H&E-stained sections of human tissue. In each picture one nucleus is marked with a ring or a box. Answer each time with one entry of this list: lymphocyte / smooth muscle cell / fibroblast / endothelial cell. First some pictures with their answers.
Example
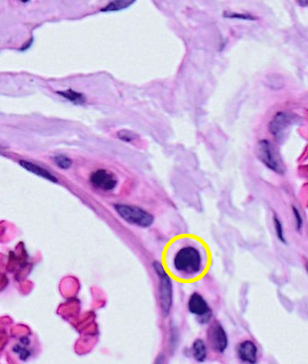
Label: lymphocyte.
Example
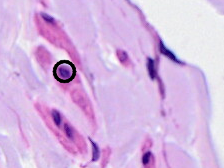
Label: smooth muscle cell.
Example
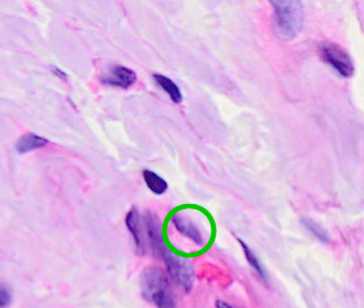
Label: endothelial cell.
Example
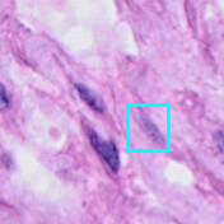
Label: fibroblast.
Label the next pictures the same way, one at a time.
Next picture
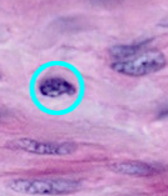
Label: lymphocyte.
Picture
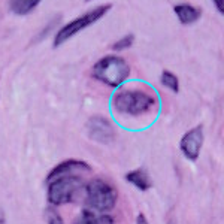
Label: endothelial cell.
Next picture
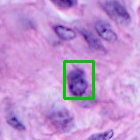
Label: lymphocyte.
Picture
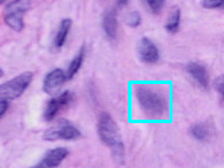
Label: fibroblast.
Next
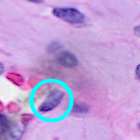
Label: endothelial cell.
